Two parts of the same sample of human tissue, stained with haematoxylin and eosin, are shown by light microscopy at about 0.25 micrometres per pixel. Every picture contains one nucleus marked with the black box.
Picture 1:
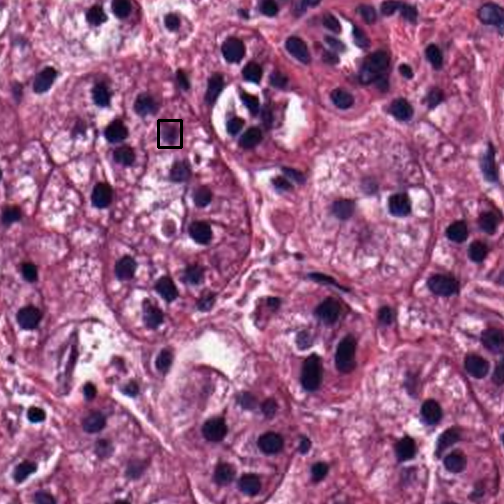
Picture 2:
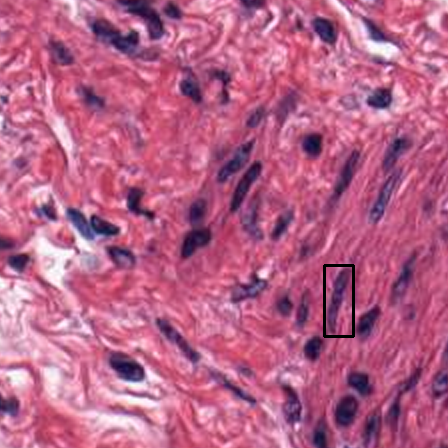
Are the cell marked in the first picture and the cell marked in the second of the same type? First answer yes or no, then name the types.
No, the first is an adrenal cortical cell and the second a smooth muscle cell.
